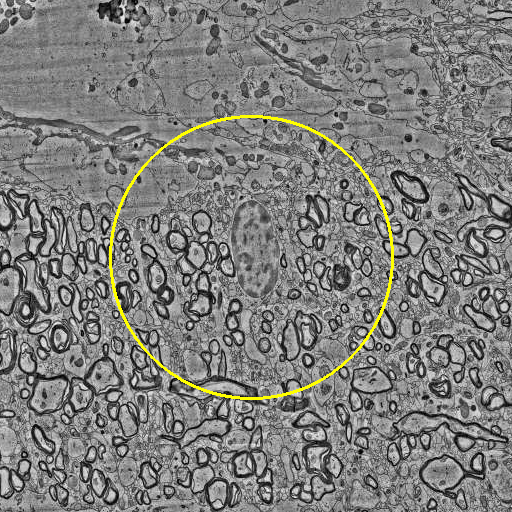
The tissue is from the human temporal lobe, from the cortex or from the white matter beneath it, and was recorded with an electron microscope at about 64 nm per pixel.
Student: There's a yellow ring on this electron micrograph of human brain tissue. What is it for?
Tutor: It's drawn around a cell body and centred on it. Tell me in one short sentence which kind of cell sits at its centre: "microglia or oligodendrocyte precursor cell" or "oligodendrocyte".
The cell at the centre of the ring is a microglial cell or oligodendrocyte precursor cell.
